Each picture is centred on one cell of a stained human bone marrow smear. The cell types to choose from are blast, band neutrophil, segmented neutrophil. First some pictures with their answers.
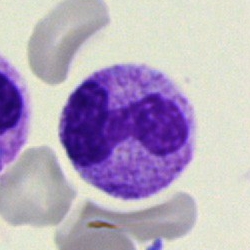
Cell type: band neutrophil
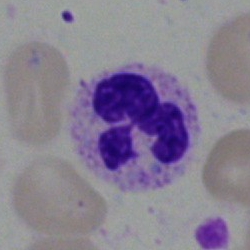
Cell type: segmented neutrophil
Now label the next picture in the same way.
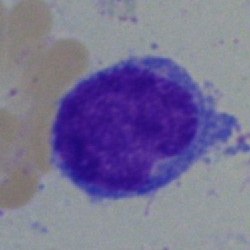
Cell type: blast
